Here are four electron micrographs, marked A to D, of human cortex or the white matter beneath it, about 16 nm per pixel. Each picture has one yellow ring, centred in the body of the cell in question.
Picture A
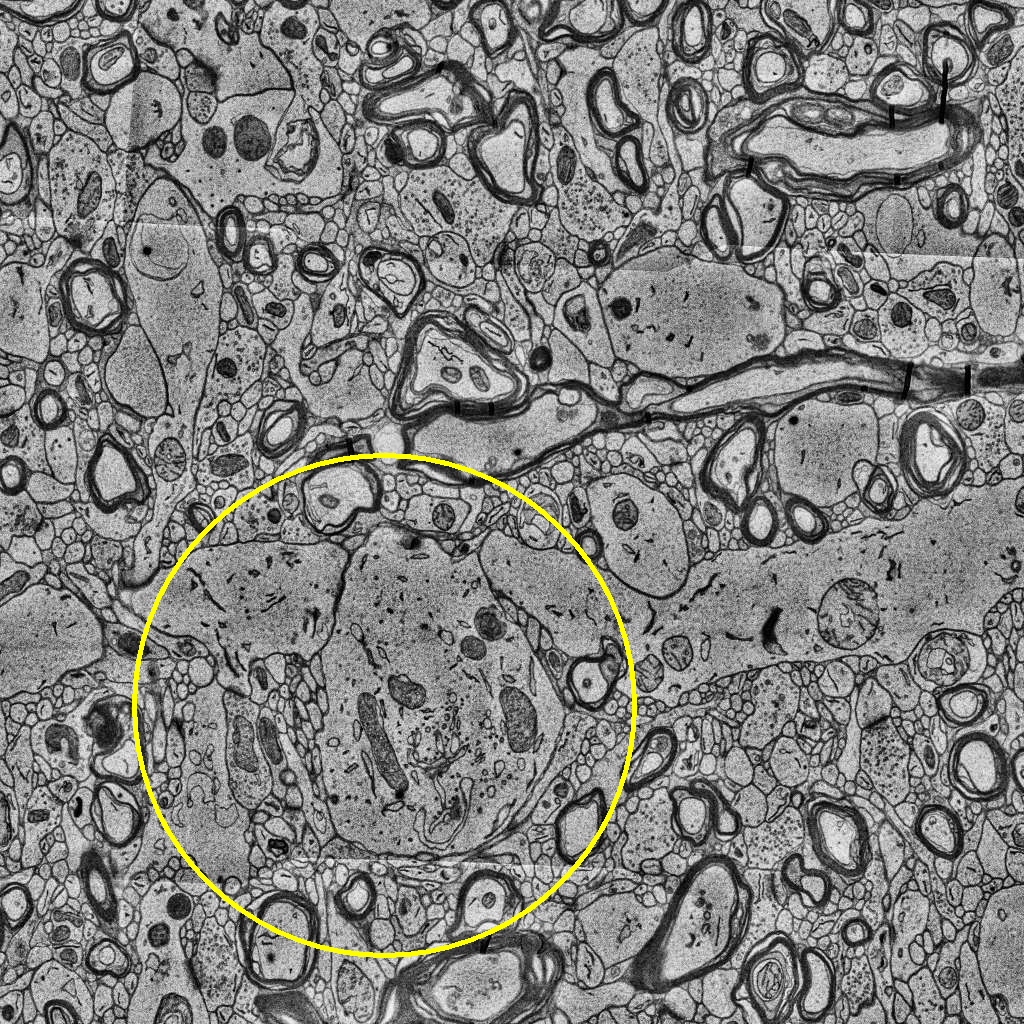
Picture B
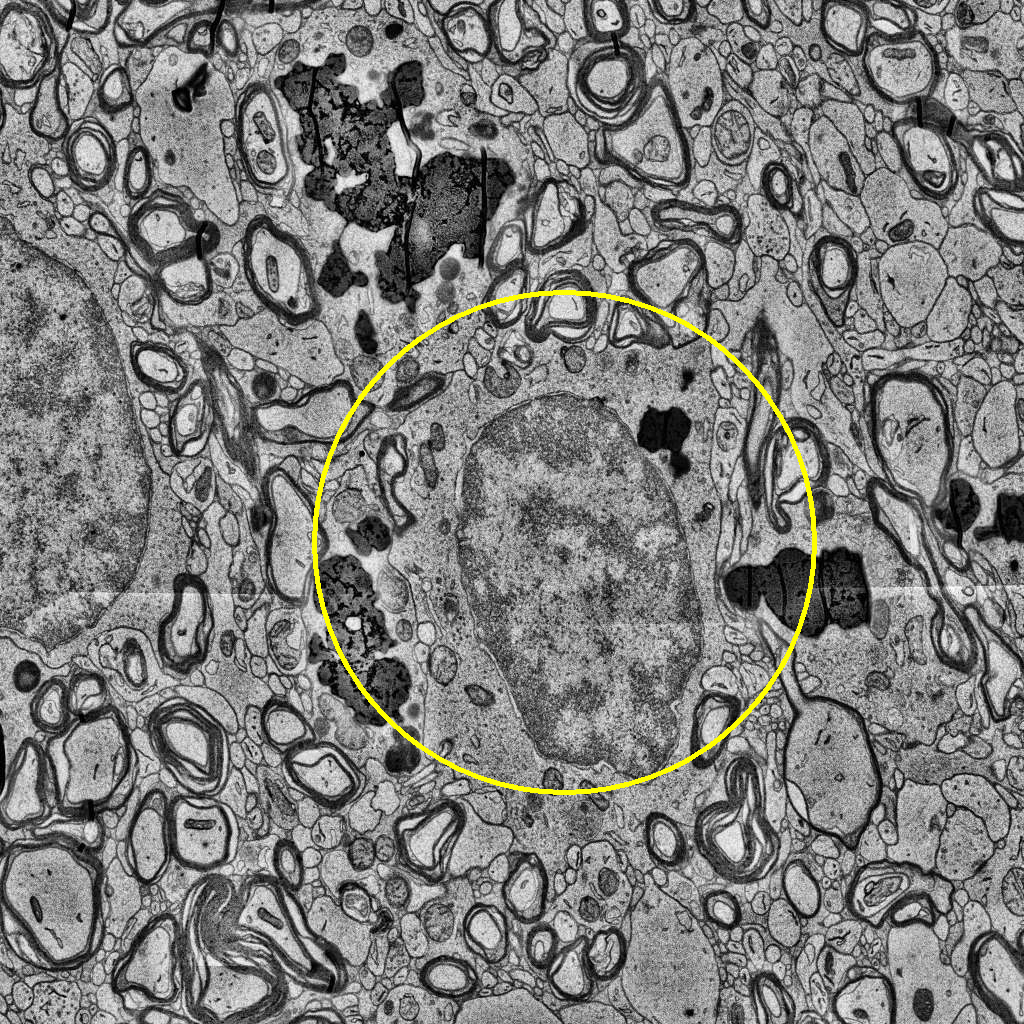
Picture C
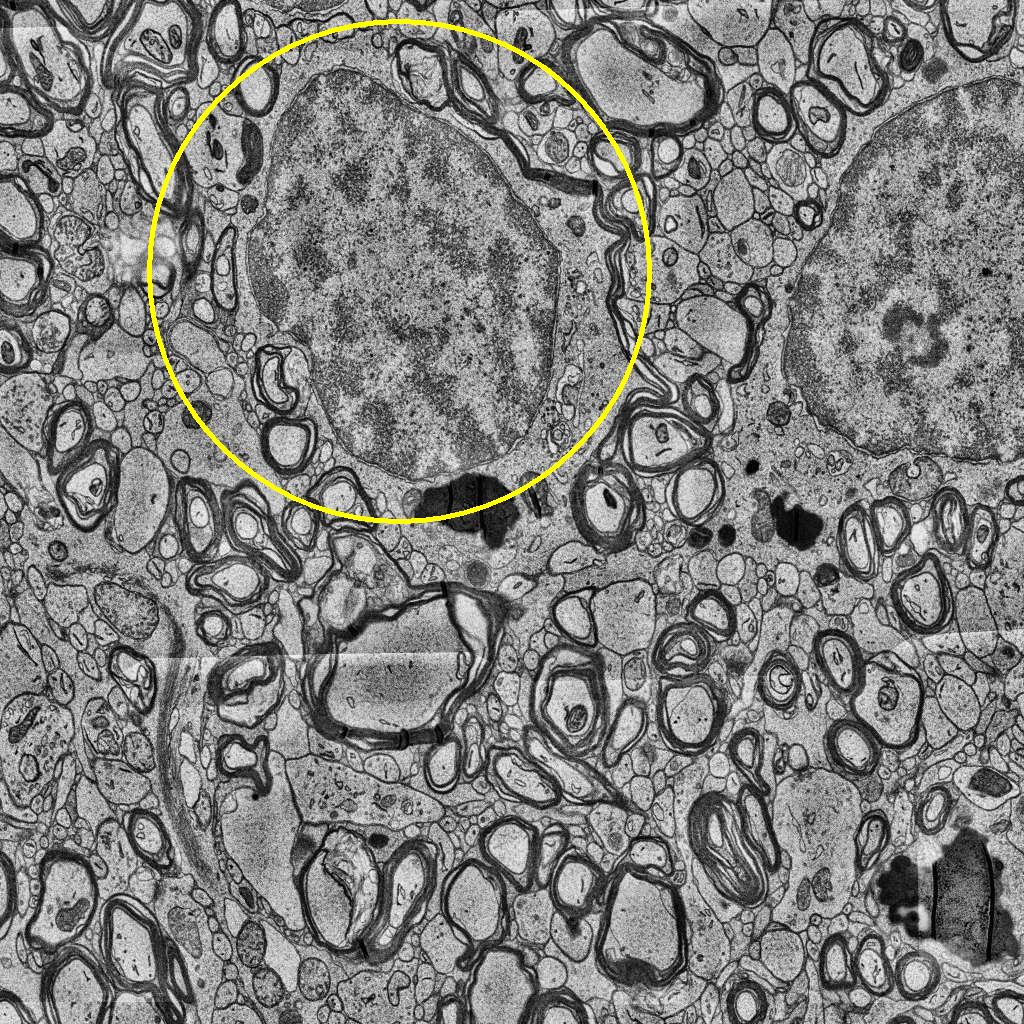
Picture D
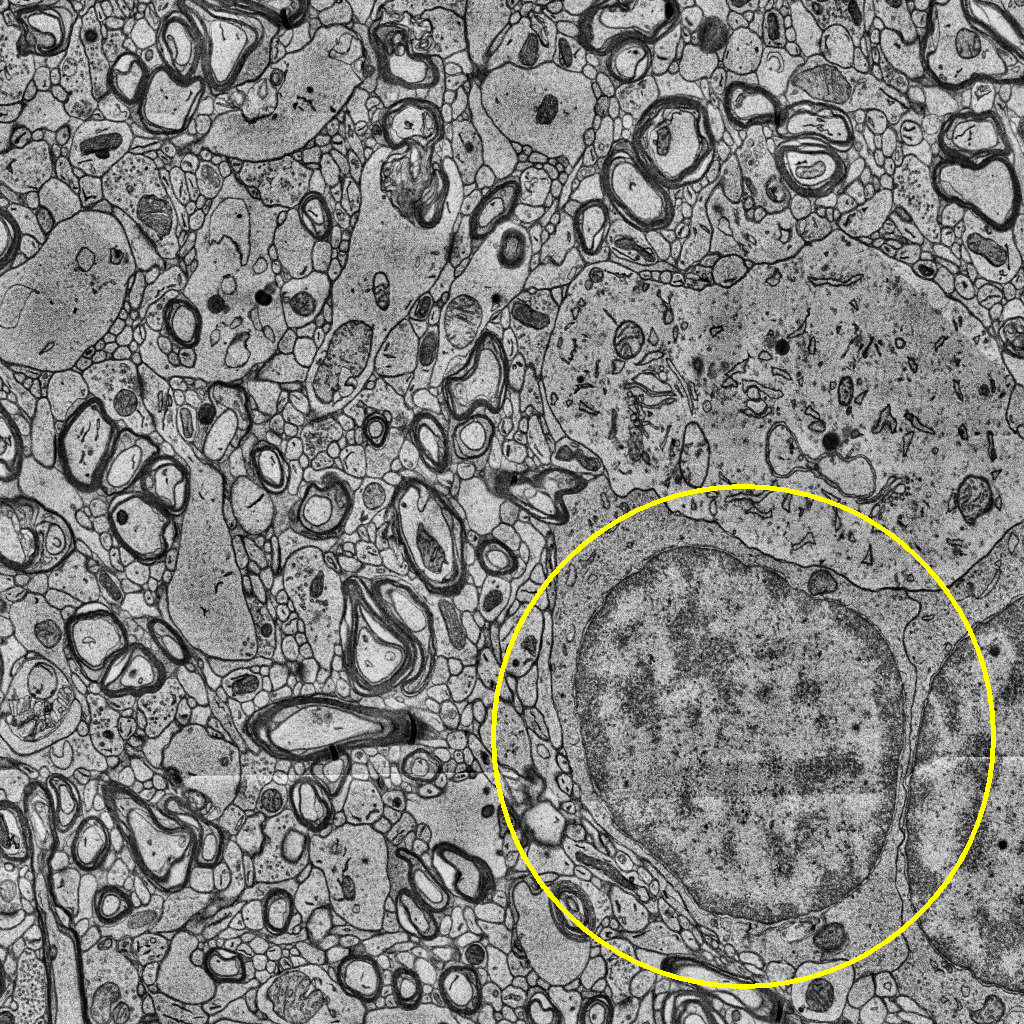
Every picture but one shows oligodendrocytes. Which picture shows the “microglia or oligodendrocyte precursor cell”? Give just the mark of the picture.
A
